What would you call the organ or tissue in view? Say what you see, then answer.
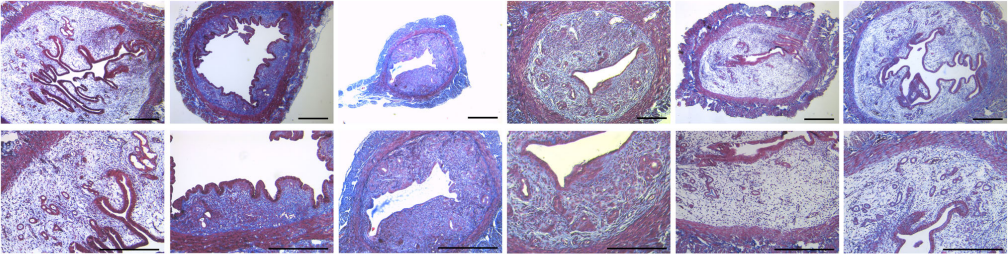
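Round cross-sections each with a central lumen. Glands lined by red-stained epithelium lie in a stroma. Blue-stained areas lie among red-stained tissue.
Hence: uterine tissue.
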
